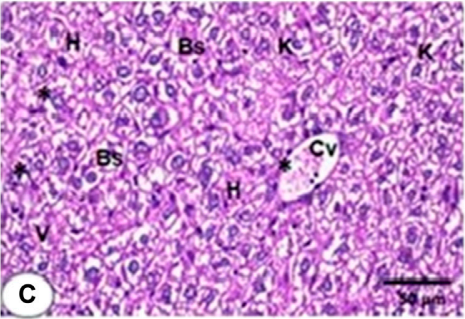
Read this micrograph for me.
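Hepatocytes here have pale, cleared and patchy cytoplasm around round nuclei, and the plates no longer run in a clear order toward the central vein. Small dark nuclei gather between the cells and near the vein wall, and the sinusoids are irregular. These are vacuolated, degraded hepatocytes with cellular infiltration in a disorganized liver lobule.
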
